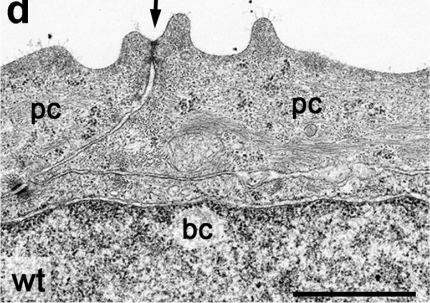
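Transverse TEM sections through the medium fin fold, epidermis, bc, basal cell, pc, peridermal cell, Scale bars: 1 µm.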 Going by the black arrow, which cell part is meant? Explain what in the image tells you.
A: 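The arrow points to a dark, electron-dense spot where two neighbouring upper cells meet. The dense spot lies at the apical end of the contact, next to the free outer surface. That points to this answer: tight junctions.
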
